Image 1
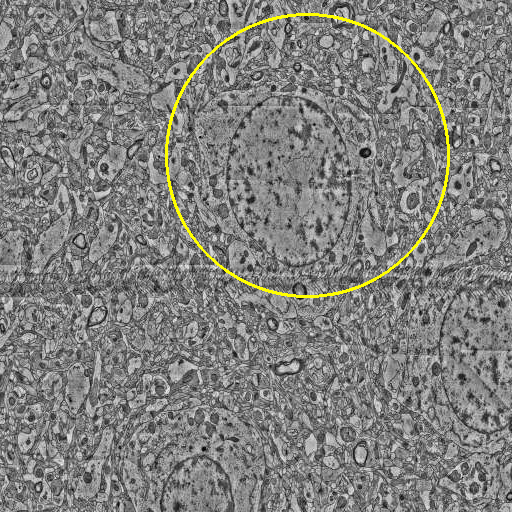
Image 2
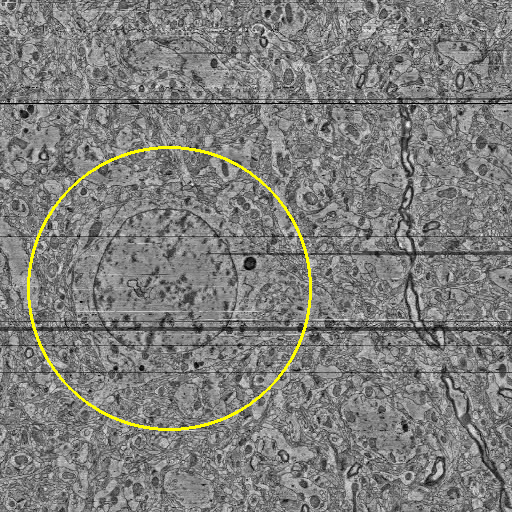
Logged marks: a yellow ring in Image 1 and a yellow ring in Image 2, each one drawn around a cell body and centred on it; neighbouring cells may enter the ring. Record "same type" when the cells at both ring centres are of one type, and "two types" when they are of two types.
same type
